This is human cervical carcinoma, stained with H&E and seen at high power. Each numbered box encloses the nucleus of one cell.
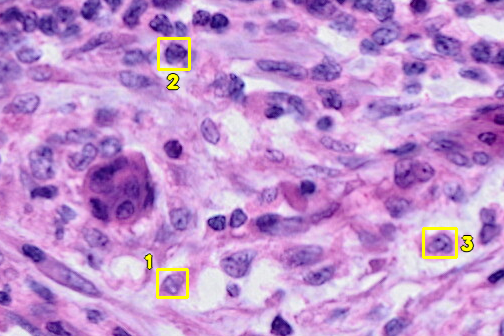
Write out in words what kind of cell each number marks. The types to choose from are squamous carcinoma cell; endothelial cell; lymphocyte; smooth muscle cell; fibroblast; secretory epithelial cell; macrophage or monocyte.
Cell 1 is a macrophage or monocyte, cell 2 is a lymphocyte and cell 3 is a macrophage or monocyte.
